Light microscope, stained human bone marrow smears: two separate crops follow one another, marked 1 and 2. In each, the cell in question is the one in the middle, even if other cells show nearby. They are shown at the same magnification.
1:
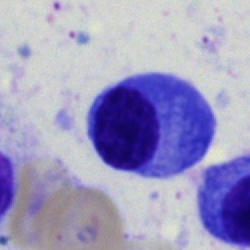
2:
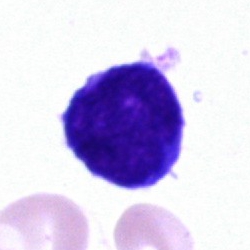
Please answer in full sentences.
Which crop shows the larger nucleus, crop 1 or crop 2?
Crop 2 shows the larger nucleus; it covers about 2.5 times the area of the nucleus in crop 1.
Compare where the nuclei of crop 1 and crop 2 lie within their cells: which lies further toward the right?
The nucleus in crop 2 lies further toward the right of its cell.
